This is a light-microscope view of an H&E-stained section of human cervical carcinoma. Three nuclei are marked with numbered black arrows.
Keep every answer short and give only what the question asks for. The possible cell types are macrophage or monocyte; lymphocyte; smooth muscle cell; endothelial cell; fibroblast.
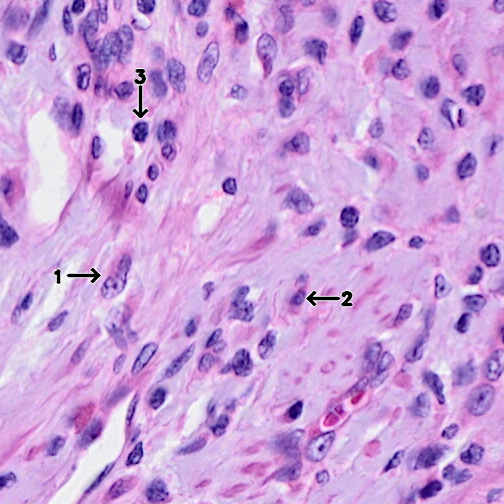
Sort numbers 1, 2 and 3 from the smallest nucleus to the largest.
2, 3, 1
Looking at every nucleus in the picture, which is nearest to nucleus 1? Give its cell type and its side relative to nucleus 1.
a macrophage or monocyte, below nucleus 1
